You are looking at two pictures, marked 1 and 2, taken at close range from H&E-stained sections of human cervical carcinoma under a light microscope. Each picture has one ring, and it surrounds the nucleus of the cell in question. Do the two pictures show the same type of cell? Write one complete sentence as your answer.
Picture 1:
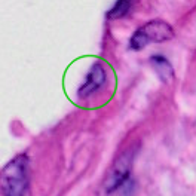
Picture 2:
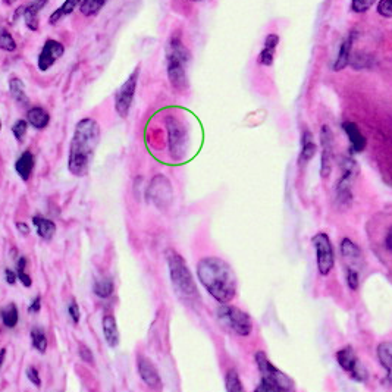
Yes, both cells are endothelial cells.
